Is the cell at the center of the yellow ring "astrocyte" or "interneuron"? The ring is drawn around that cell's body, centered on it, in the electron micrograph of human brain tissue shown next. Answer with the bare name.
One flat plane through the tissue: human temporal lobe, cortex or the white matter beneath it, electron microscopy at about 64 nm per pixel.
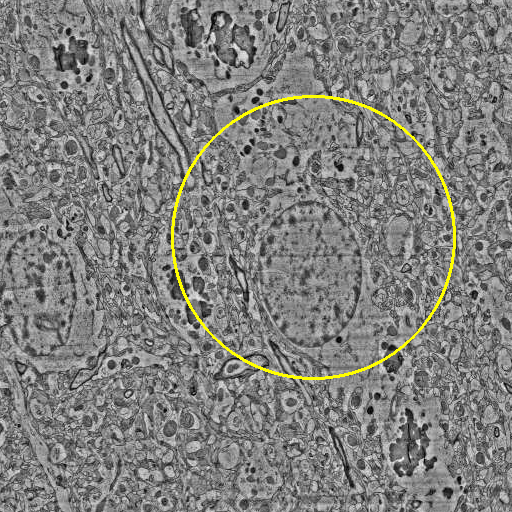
astrocyte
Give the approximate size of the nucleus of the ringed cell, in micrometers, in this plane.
About 9 by 7 micrometers for the nucleus, in this plane.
